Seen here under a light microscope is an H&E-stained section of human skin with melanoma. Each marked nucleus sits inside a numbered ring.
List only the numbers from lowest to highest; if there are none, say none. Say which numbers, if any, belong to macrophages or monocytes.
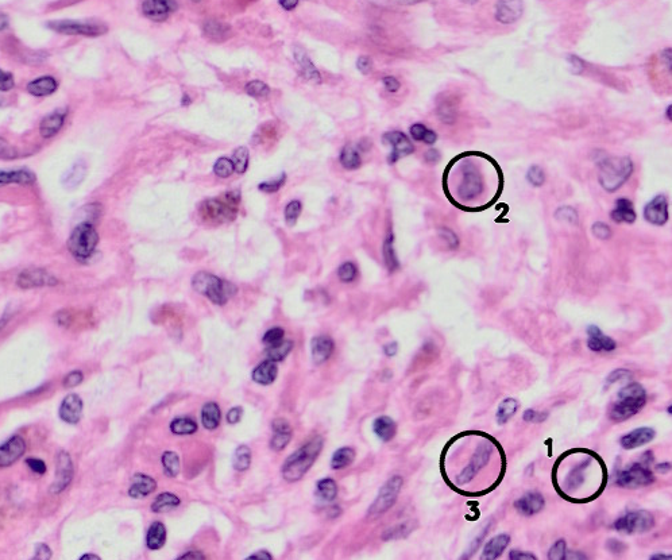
2, 3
